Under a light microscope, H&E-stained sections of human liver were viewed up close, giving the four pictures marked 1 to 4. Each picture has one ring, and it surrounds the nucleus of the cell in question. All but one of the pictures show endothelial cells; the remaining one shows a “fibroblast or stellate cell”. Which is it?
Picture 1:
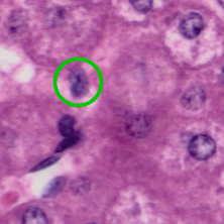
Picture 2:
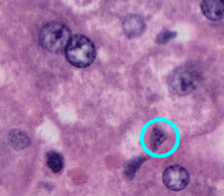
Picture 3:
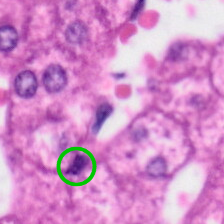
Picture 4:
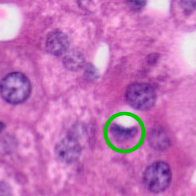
3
